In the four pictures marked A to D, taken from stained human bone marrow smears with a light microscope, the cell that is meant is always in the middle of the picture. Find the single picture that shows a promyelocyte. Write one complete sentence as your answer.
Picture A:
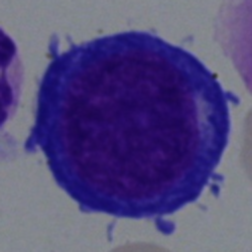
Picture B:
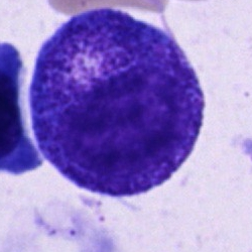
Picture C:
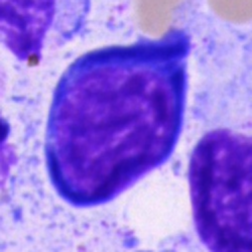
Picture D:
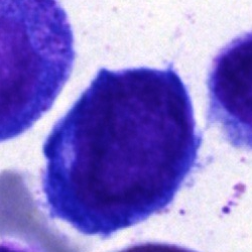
The promyelocyte is the one in picture B.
